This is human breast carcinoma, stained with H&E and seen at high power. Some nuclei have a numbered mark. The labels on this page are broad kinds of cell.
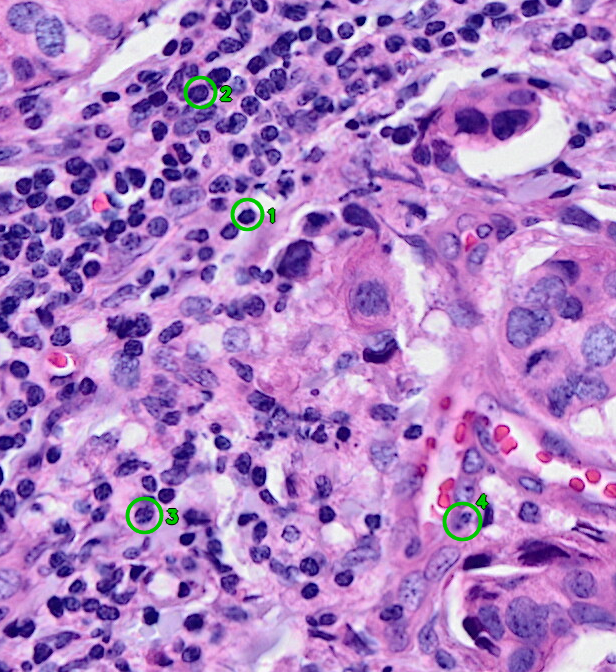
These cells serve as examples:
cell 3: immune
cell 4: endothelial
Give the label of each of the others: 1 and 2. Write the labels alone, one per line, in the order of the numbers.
immune
immune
